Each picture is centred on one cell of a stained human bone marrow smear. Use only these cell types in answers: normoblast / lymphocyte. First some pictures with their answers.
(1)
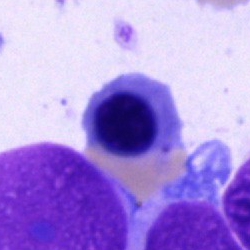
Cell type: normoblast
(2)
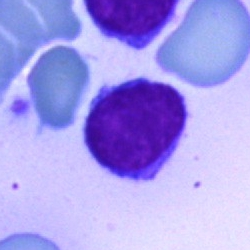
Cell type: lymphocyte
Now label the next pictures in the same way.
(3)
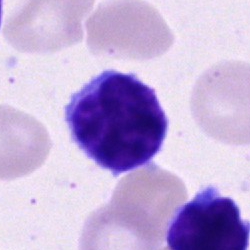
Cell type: lymphocyte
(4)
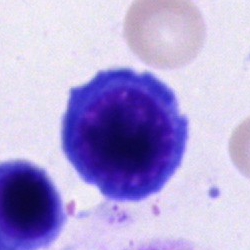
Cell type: normoblast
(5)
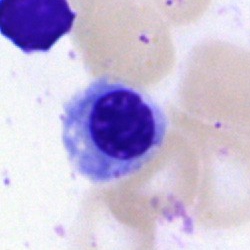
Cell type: normoblast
